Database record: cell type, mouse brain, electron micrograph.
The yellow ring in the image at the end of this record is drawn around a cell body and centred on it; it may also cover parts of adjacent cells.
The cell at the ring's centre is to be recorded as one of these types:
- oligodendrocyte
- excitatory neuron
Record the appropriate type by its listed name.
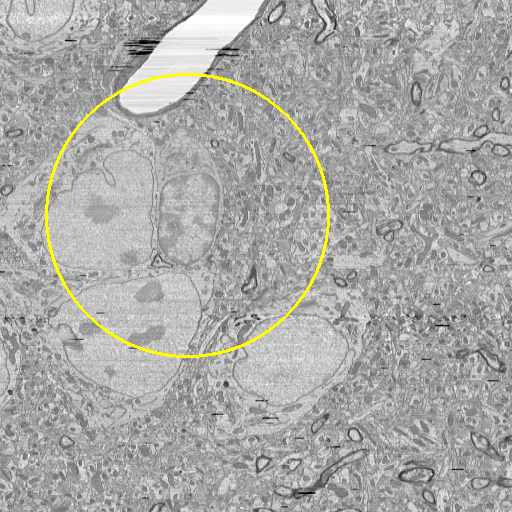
oligodendrocyte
